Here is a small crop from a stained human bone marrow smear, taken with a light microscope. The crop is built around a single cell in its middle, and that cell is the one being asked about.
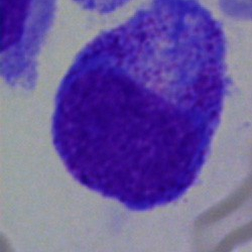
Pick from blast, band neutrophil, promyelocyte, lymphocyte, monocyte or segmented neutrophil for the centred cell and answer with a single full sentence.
The central cell in this smear crop is a promyelocyte.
